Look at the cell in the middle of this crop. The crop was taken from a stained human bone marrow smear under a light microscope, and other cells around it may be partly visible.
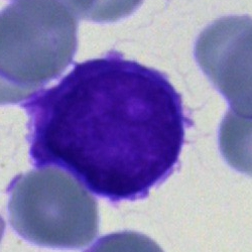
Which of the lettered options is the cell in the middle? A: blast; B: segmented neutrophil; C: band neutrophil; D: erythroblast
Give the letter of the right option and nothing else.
A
